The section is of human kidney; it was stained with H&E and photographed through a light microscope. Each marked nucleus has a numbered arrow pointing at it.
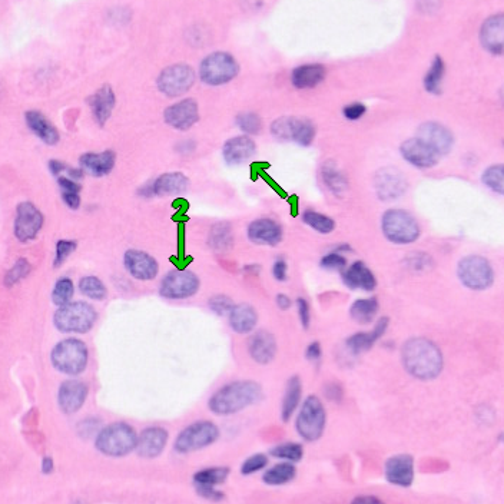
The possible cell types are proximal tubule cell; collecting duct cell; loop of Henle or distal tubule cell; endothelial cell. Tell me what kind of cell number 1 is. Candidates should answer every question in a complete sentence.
Within this field of view, the cell labelled 1 is a loop of Henle or distal tubule cell.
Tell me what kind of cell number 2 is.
Number 2 among the marked cells is a collecting duct cell.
